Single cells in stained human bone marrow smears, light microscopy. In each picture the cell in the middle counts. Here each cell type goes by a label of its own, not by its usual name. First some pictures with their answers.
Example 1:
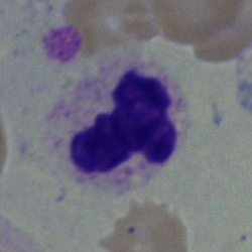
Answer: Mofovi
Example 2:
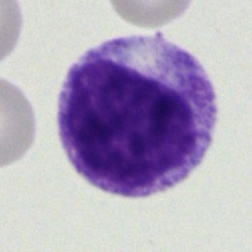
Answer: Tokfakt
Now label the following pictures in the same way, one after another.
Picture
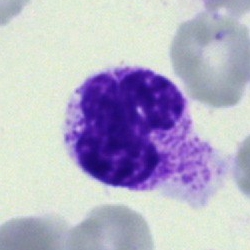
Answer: Mofovi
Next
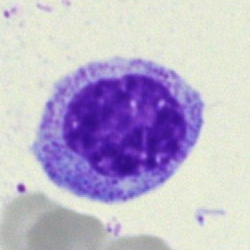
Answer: Tokfakt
